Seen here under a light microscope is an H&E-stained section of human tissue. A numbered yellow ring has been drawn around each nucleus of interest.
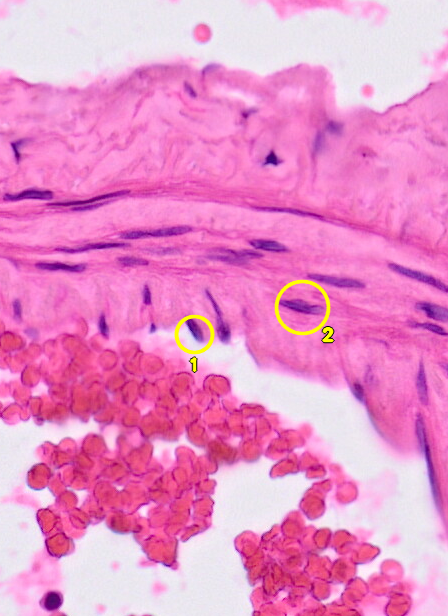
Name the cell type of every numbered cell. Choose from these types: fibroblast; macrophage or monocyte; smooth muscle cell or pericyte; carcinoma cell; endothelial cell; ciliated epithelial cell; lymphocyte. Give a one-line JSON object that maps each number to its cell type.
{"1": "endothelial cell", "2": "smooth muscle cell or pericyte"}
